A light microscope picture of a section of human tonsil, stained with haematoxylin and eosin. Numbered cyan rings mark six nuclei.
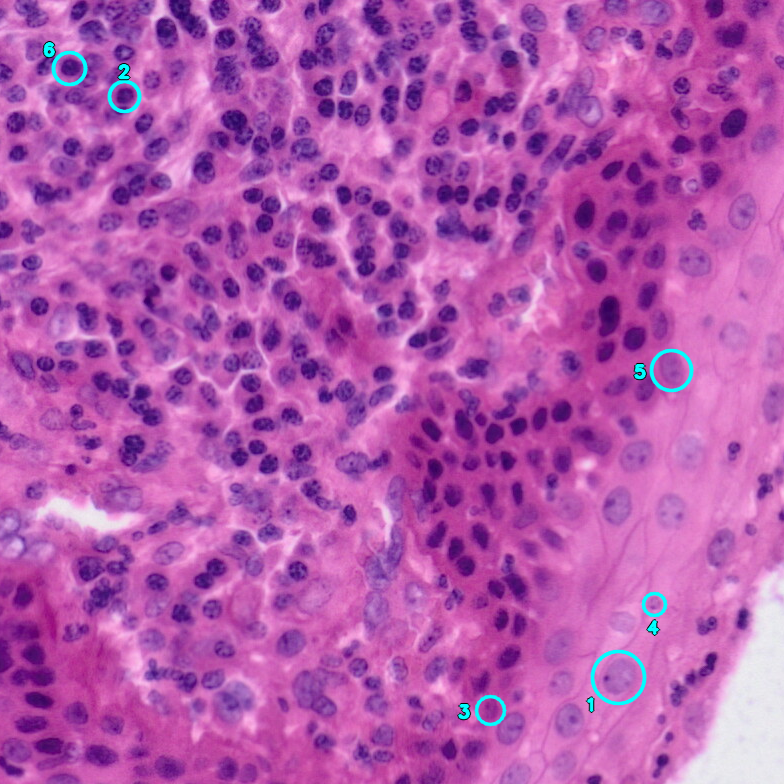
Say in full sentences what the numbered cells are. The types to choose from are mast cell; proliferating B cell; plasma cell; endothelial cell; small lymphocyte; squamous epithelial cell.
Cells 1, 3, 4 and 5 are squamous epithelial cells. Cells 2 and 6 are plasma cells.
